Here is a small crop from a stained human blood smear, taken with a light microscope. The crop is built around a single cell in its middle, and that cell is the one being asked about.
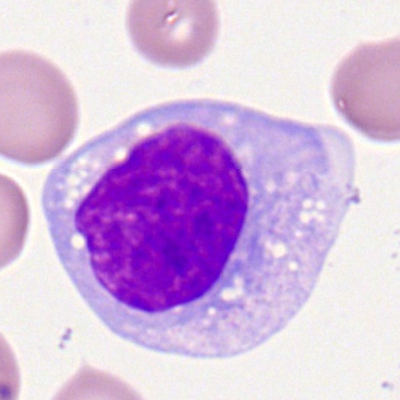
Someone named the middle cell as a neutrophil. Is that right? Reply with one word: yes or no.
no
